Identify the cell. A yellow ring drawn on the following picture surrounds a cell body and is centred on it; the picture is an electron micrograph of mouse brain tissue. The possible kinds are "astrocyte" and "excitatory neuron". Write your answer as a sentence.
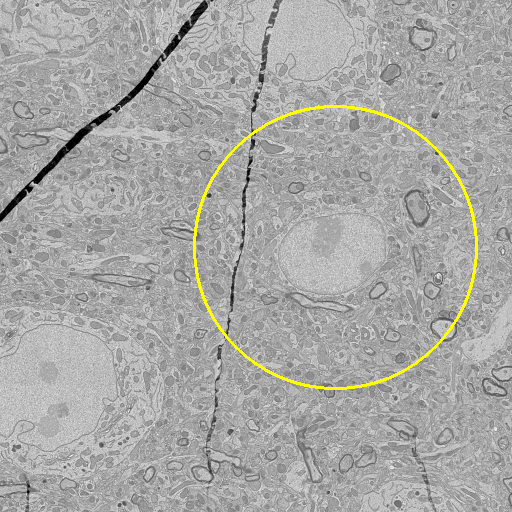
The cell identified by the ring is an astrocyte.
